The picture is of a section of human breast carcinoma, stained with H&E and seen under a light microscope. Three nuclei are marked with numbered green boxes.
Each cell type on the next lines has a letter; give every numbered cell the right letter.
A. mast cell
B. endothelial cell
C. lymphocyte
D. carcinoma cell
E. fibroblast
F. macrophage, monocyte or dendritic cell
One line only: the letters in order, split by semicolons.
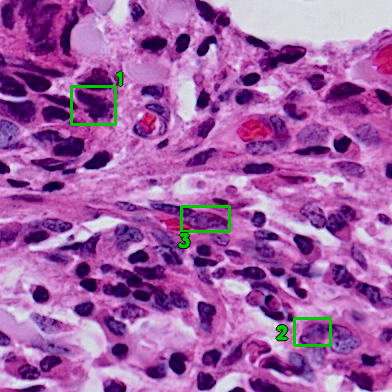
D; B; B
